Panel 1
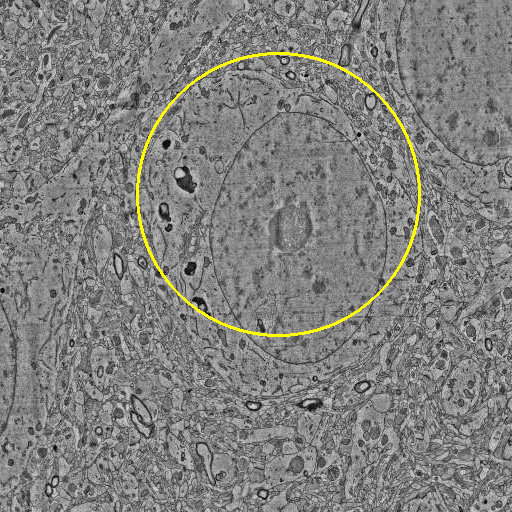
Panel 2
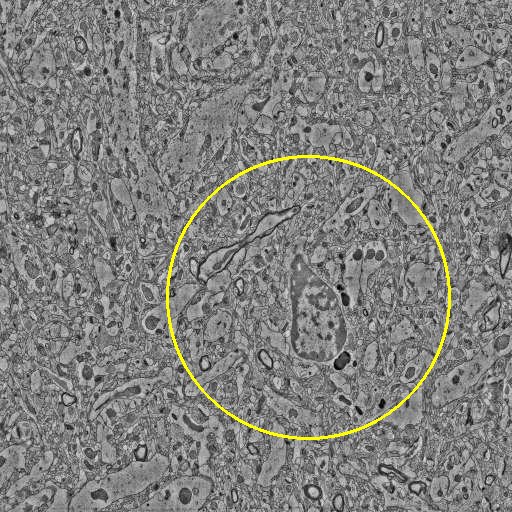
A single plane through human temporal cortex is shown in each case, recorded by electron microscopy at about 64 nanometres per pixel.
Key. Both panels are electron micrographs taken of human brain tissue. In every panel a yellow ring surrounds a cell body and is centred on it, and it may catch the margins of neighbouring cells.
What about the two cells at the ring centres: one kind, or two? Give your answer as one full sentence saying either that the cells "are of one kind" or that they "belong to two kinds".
Across Panels 1 and 2, the two cells at the ring centres belong to two kinds.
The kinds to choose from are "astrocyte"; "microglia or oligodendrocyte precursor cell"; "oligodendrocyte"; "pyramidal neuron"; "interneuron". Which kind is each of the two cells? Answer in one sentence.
Of the two, the first cell is a pyramidal neuron and the second cell is a microglial cell or oligodendrocyte precursor cell.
